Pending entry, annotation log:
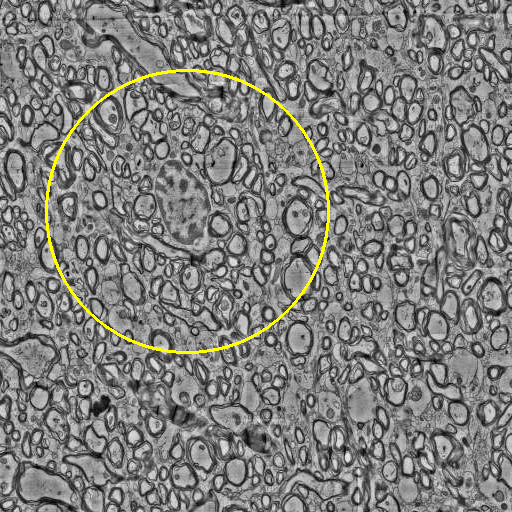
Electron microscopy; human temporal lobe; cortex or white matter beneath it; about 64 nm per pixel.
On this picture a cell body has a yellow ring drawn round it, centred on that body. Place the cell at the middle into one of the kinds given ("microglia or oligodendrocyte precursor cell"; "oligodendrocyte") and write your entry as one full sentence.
The cell body at the middle of the yellow ring belongs to a microglial cell or oligodendrocyte precursor cell.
